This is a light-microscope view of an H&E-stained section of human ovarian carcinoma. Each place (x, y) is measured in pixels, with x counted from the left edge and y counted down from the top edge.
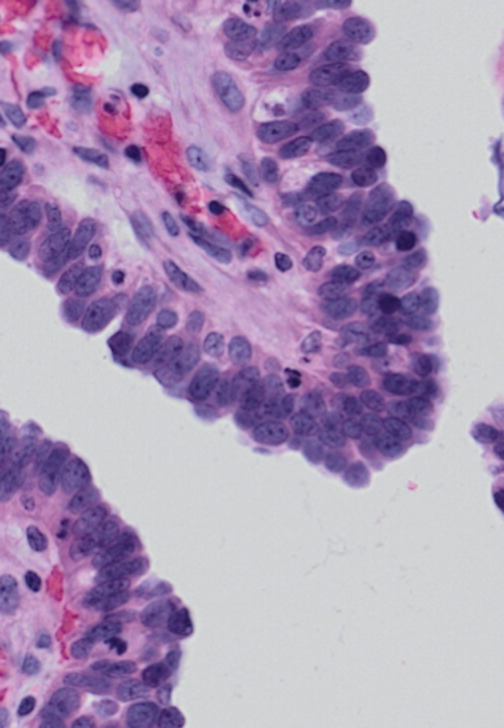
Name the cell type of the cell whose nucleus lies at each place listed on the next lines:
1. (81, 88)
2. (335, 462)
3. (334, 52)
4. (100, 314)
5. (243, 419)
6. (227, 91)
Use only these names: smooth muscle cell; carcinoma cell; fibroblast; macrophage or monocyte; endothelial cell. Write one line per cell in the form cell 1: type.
cell 1: endothelial cell
cell 2: carcinoma cell
cell 3: carcinoma cell
cell 4: carcinoma cell
cell 5: carcinoma cell
cell 6: fibroblast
